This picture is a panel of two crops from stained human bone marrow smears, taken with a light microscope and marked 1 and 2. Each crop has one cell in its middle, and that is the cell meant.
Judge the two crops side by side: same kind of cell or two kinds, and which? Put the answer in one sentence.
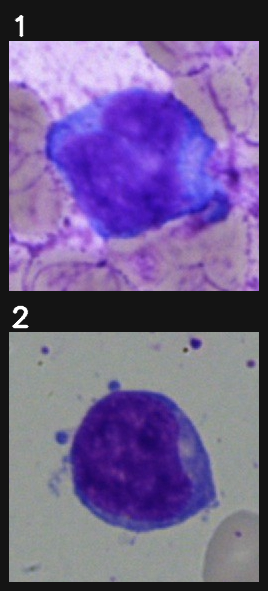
Yes, that is right, both crops show blasts.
